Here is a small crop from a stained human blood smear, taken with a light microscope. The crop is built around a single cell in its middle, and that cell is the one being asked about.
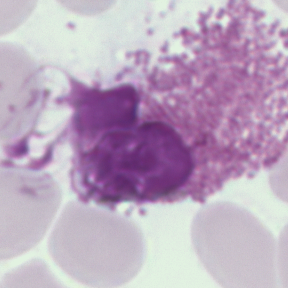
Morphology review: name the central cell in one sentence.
What sits at the centre of this crop is an eosinophil.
